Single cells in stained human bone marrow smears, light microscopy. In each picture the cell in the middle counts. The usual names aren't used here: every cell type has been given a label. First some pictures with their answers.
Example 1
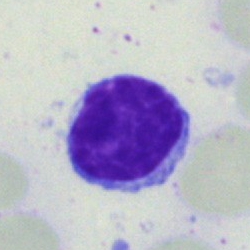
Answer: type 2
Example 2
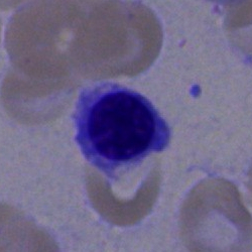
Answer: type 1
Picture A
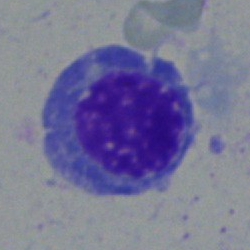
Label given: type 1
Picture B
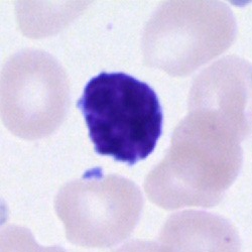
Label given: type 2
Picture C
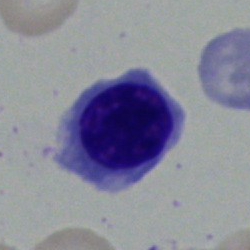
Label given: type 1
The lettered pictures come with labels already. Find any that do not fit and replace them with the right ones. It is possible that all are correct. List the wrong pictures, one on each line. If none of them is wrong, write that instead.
None of the labels needs changing.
